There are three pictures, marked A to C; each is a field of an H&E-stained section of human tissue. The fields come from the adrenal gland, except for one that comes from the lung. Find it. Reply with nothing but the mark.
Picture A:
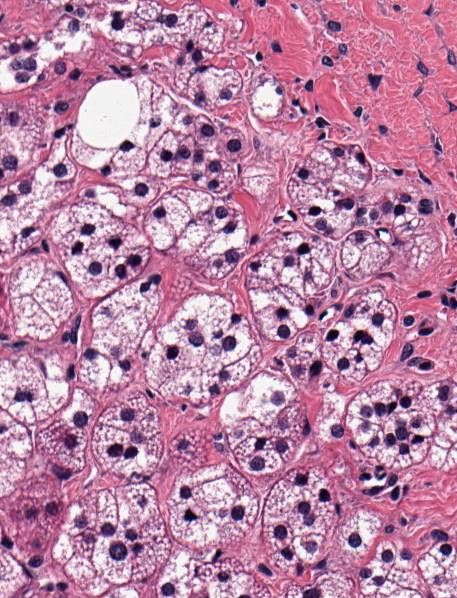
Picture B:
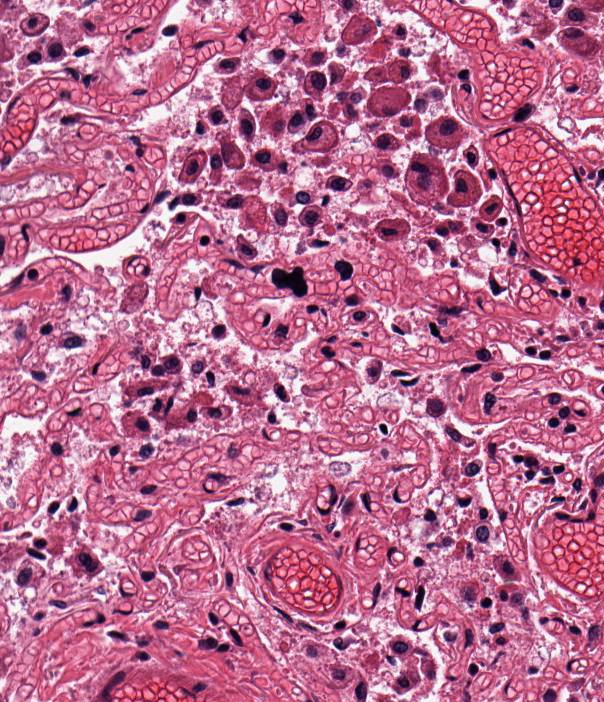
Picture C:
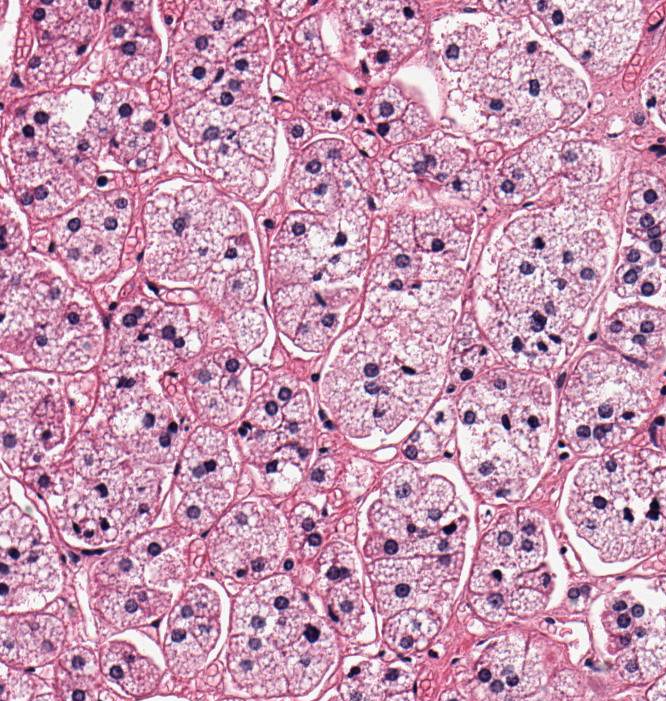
B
